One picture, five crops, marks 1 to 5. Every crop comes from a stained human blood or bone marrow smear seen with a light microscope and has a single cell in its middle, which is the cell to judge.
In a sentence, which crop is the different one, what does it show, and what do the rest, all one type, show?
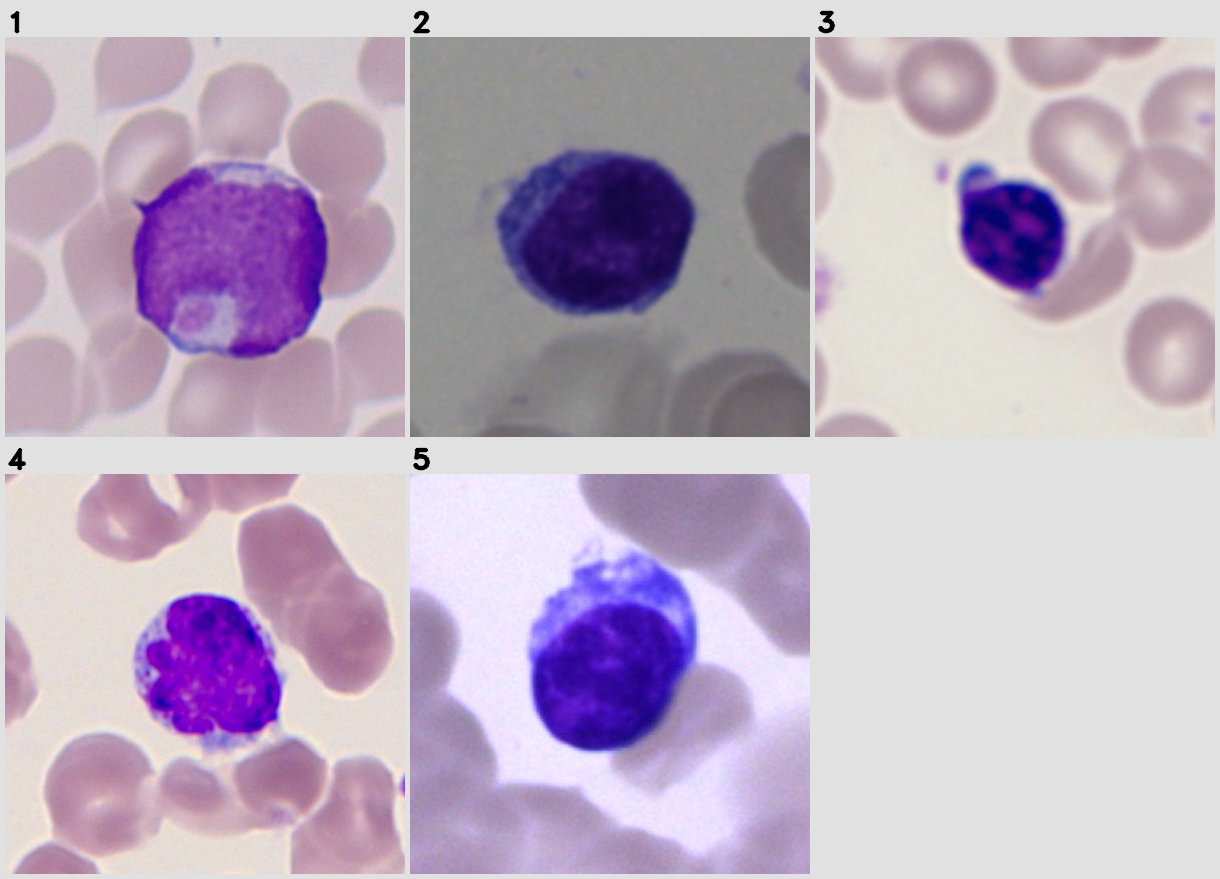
Crop 1 is the one to flag: it is a blast, and the rest show lymphocytes.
